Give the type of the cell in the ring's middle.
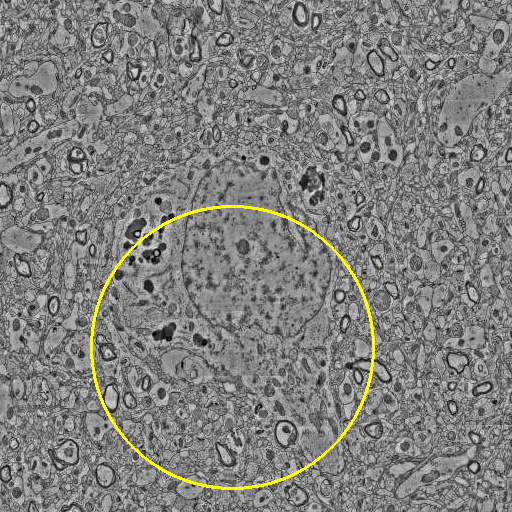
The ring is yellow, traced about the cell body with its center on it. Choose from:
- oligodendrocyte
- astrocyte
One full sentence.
Here, an oligodendrocyte is the cell lying at the center of the yellow ring.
